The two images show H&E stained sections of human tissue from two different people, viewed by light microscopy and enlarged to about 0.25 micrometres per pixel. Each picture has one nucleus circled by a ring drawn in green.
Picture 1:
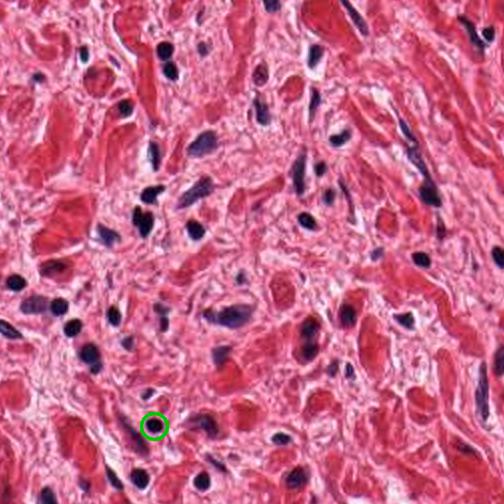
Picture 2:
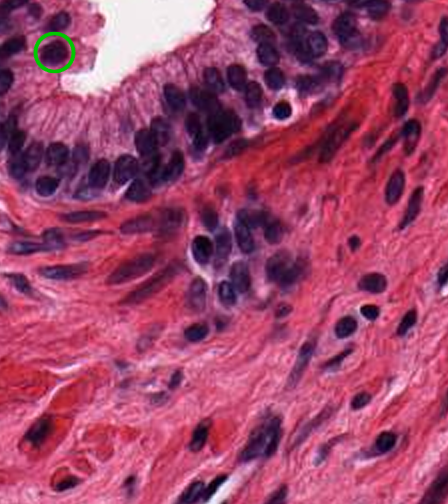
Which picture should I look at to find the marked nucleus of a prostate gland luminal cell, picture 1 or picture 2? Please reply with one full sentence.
In picture 2, the marked nucleus belongs to a prostate gland luminal cell.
